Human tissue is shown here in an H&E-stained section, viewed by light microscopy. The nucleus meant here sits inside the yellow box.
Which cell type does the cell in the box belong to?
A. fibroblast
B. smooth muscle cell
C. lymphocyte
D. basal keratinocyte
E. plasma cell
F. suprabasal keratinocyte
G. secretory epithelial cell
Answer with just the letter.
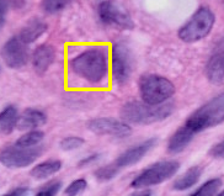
G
